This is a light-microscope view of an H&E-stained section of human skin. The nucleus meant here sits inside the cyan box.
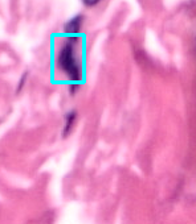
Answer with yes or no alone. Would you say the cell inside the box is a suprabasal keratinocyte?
no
